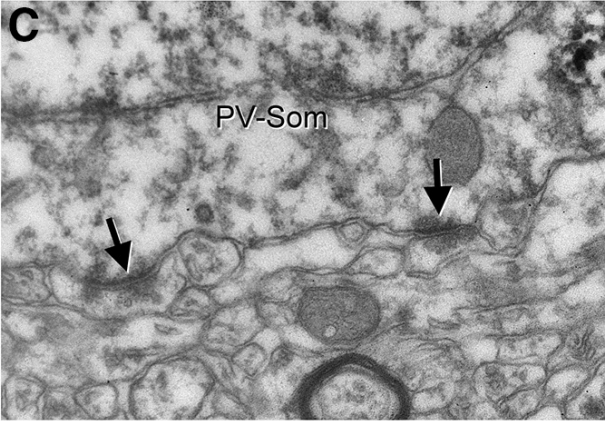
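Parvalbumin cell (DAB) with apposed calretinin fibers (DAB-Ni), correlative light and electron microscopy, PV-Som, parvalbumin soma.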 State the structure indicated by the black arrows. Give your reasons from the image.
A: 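At the arrows a thick dark density lines the postsynaptic side of the contact.
Conclusion: large asymmetric synapses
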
